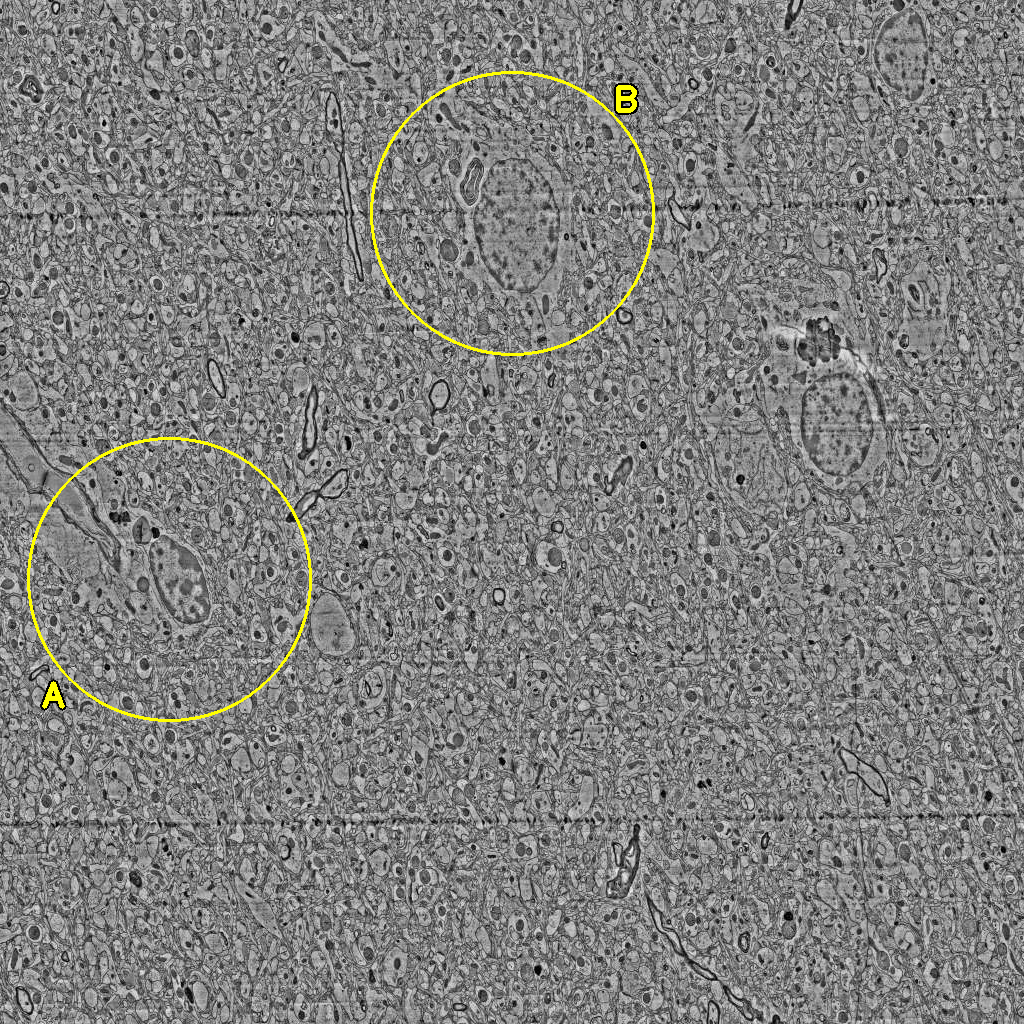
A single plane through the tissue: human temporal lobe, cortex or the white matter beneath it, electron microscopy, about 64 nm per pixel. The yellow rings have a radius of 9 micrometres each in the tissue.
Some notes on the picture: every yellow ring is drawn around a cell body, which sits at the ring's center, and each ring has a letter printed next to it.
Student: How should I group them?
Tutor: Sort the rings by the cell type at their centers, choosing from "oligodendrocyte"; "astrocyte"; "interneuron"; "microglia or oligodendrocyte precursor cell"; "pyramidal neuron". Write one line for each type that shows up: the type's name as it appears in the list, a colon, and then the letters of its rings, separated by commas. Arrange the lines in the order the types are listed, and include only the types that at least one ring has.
astrocyte: B
microglia or oligodendrocyte precursor cell: A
